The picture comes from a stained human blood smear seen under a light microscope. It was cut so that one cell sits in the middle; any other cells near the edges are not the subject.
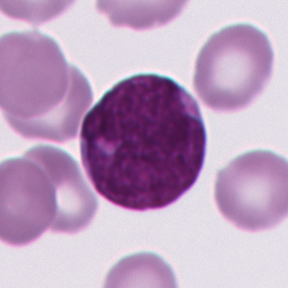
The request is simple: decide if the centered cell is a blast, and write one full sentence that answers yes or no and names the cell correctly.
Yes, the cell in the center of this crop is a blast.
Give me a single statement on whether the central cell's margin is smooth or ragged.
Its surface contour is regular and smooth, without any protrusions.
